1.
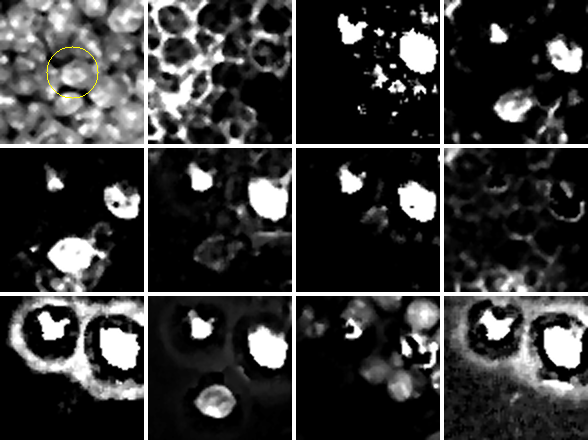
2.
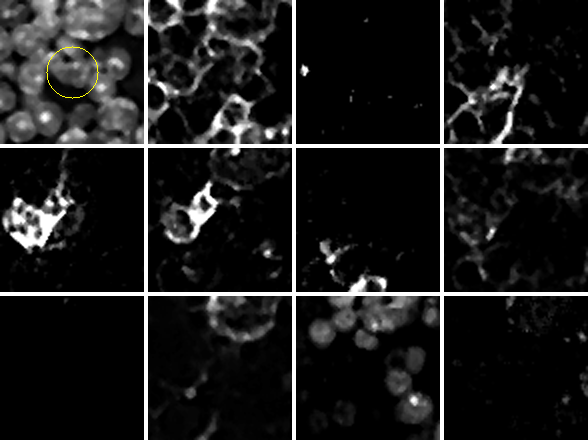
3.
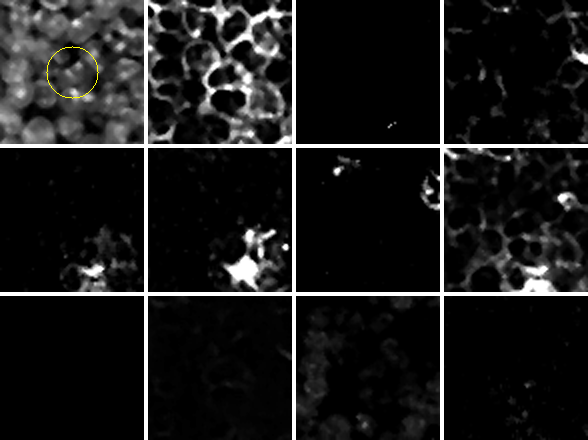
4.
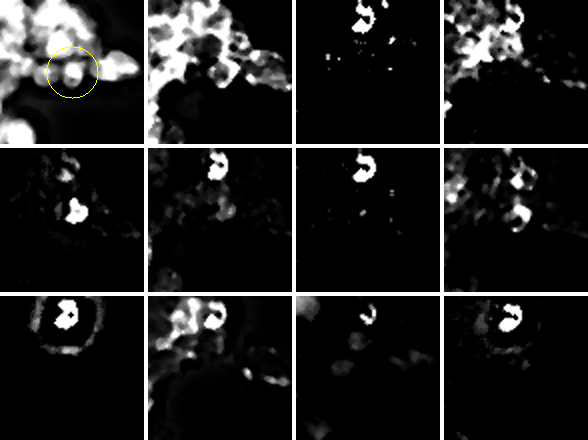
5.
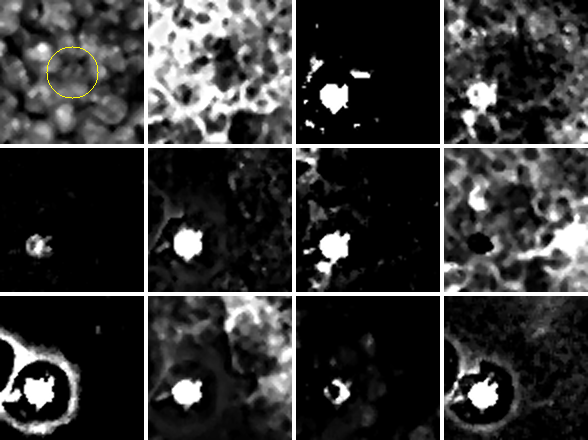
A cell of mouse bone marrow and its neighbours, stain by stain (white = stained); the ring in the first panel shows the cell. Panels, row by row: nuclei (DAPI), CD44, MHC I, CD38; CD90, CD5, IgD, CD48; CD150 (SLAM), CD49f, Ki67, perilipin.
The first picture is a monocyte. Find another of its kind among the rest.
Picture 4.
